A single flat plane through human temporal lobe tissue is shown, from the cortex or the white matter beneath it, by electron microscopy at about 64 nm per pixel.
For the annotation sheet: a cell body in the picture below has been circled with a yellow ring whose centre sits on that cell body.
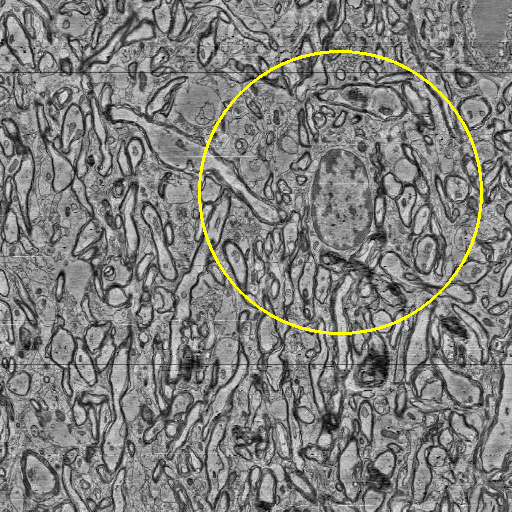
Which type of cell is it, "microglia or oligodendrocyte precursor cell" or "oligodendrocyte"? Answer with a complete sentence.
The circled cell is a microglial cell or oligodendrocyte precursor cell.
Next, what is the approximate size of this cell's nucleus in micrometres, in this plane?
The nucleus of the ringed cell is clearly longer than it is wide in this plane, about 6 by 4 micrometres.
